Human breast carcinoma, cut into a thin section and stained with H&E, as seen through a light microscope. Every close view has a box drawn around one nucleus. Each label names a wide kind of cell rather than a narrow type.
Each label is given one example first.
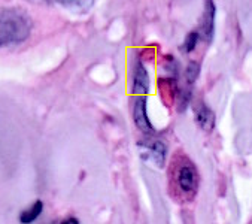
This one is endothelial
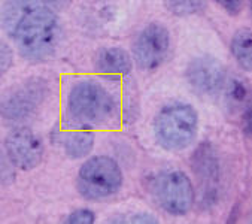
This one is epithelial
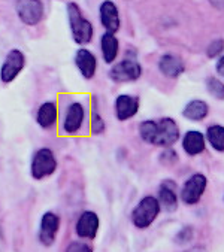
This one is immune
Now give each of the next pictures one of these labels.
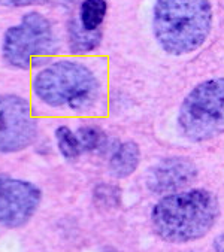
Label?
epithelial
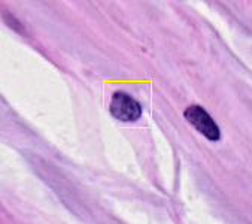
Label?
immune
